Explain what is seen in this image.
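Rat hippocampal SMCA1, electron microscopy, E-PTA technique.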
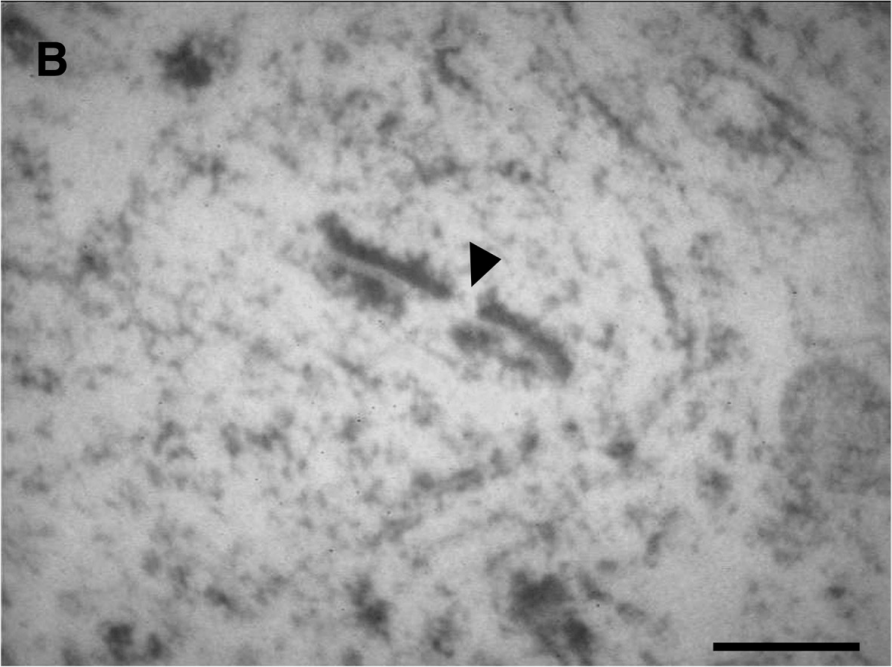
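A single large synaptic contact zone crosses the middle of the field. It is seen as paired dark dense lines on a pale background. The long contact is broken by a clear gap, so it appears as two dense segments lying in line, the pattern of a perforated synapse.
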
